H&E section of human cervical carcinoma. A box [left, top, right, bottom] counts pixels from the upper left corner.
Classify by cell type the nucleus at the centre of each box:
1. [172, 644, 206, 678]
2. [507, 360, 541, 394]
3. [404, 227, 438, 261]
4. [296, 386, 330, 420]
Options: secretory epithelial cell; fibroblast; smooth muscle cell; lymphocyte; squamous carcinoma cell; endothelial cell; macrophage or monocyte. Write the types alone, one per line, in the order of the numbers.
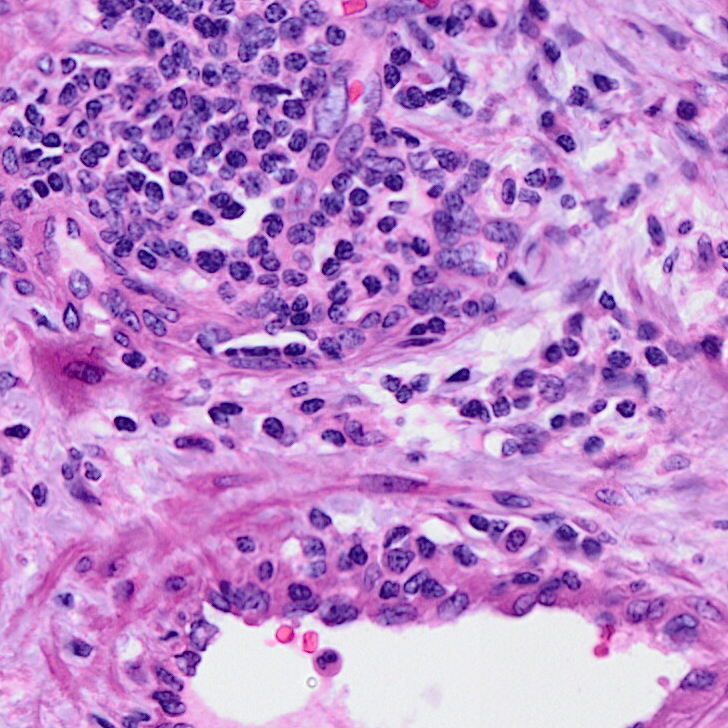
endothelial cell
lymphocyte
lymphocyte
lymphocyte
